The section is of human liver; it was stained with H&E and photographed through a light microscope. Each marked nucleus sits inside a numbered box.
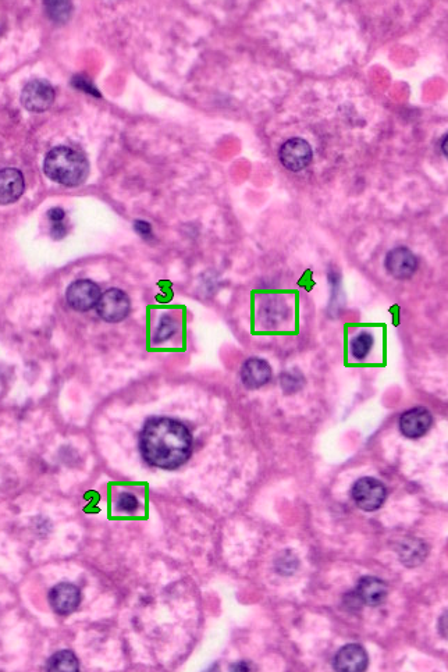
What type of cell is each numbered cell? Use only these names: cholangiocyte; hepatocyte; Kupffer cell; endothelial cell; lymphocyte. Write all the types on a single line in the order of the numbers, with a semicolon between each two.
lymphocyte; lymphocyte; Kupffer cell; hepatocyte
